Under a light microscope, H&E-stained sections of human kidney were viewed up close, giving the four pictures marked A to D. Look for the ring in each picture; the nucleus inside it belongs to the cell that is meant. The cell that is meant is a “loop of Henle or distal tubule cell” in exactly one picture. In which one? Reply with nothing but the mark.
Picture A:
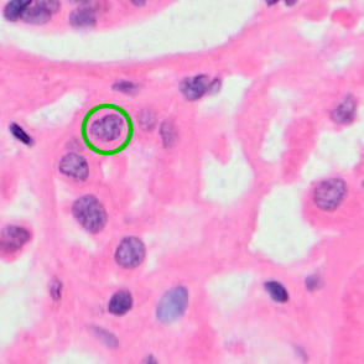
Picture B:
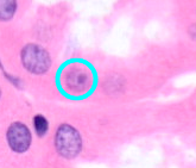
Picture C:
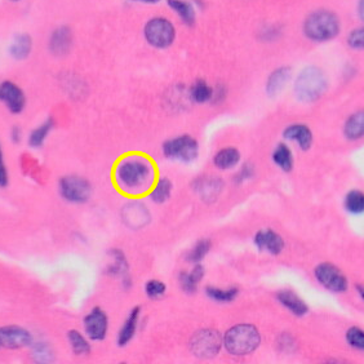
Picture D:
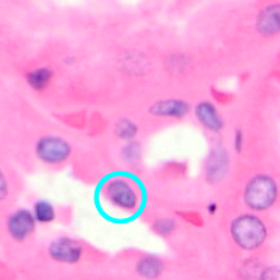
D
